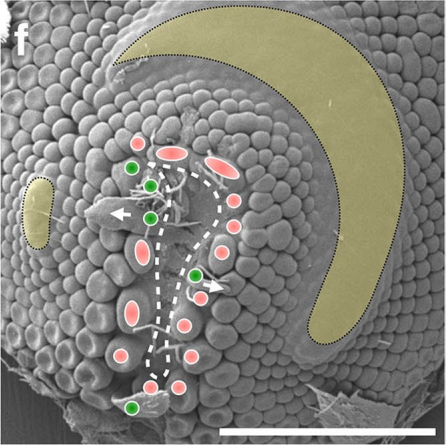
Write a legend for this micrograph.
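This scanning electron image shows a wounded flower head meristem with a narrow wound running through the field of rounded primordia. Both sides of the wound rim are lined with new primordia, mostly rounded floret primordia with a few small pointed bracts directed away from the rim.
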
